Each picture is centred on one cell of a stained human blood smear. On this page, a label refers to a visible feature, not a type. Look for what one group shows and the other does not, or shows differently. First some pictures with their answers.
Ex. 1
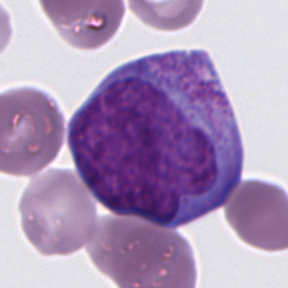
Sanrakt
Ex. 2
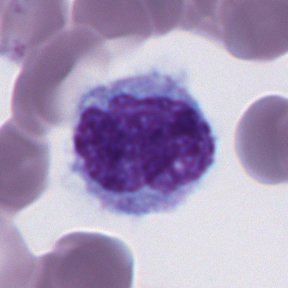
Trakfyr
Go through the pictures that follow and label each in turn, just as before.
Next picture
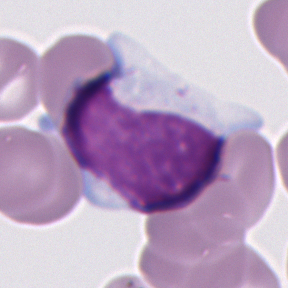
Sanrakt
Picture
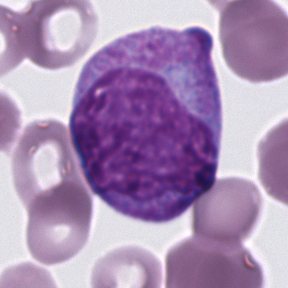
Trakfyr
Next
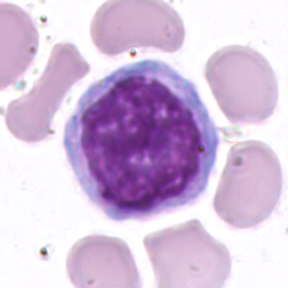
Trakfyr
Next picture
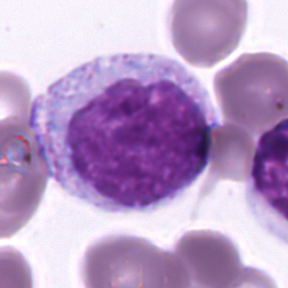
Sanrakt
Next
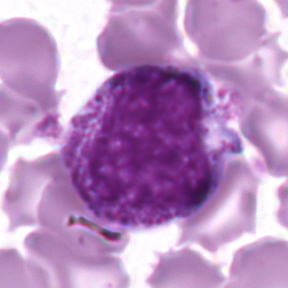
Trakfyr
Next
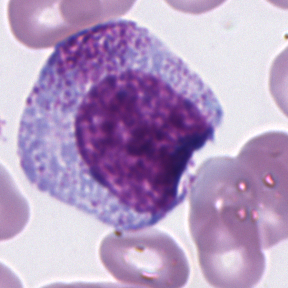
Sanrakt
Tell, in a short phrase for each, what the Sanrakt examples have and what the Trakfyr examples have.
Seen in Sanrakt: abundant cytoplasm; seen in Trakfyr: scant cytoplasm.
